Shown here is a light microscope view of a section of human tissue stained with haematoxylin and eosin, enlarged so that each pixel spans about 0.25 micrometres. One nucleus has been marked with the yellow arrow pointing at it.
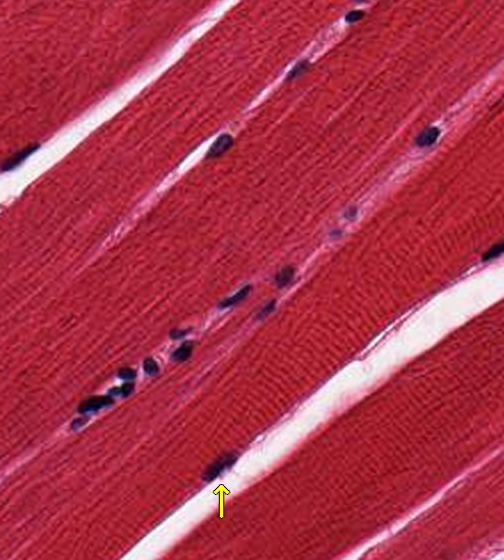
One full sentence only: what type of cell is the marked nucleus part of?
The marked nucleus lies within a skeletal muscle fibre.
